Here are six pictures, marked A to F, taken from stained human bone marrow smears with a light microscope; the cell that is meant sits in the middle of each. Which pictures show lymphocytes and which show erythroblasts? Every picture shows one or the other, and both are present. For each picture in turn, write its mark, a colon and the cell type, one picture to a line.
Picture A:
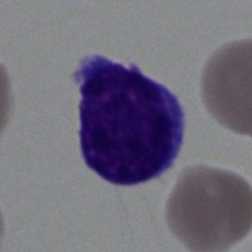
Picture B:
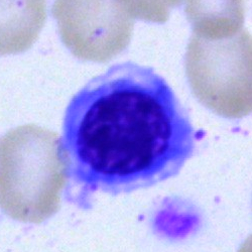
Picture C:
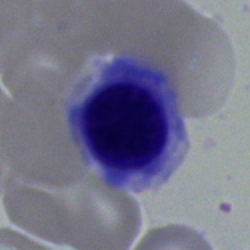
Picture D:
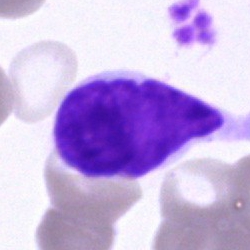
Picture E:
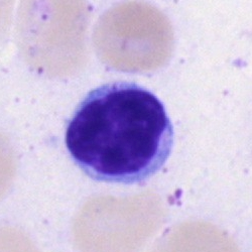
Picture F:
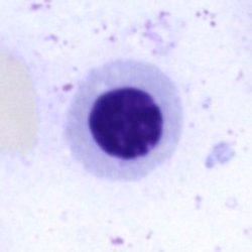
A: lymphocyte
B: erythroblast
C: erythroblast
D: lymphocyte
E: lymphocyte
F: erythroblast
